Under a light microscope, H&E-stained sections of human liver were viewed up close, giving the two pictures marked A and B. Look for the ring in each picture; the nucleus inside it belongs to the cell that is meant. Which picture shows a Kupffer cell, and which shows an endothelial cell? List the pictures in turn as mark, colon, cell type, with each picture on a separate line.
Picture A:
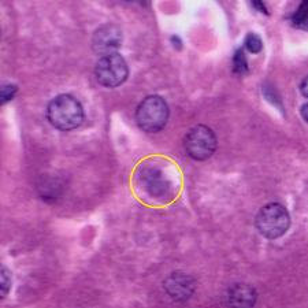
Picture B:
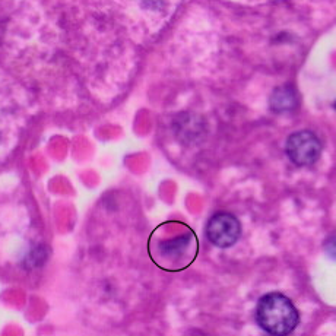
A: Kupffer cell
B: endothelial cell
